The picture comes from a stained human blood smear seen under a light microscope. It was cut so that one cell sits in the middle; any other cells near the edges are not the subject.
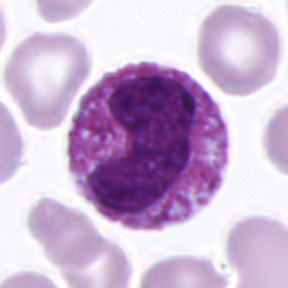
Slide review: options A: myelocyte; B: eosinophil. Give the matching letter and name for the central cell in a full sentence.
The middle cell of the crop is an eosinophil; accordingly, option B is correct.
